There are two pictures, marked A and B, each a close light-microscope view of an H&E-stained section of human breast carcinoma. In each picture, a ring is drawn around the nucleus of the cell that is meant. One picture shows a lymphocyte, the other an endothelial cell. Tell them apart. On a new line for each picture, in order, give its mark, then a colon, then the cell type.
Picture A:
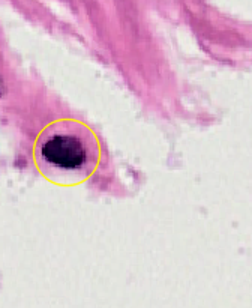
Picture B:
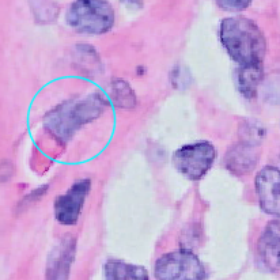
A: lymphocyte
B: endothelial cell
